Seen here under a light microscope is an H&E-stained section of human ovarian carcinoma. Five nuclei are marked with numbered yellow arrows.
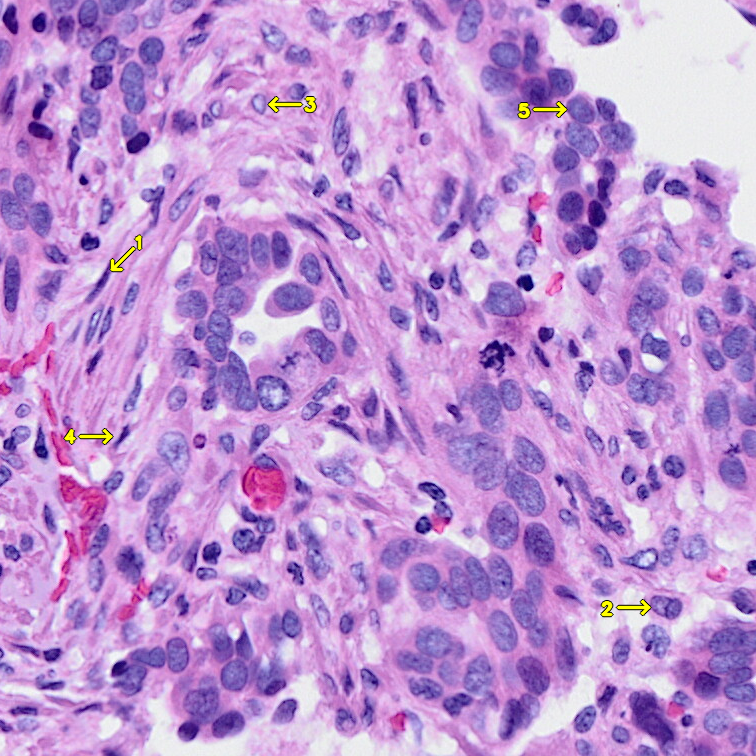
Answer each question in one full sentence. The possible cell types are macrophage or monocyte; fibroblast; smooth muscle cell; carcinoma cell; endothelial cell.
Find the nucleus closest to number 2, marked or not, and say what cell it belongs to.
Number 2 lies closest to the nucleus of a macrophage or monocyte.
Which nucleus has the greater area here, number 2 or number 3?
It is nucleus 2, which covers about 2 times the area of nucleus 3.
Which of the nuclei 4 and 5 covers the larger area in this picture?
Nucleus 5 is larger, with an area about 3 times that of nucleus 4.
